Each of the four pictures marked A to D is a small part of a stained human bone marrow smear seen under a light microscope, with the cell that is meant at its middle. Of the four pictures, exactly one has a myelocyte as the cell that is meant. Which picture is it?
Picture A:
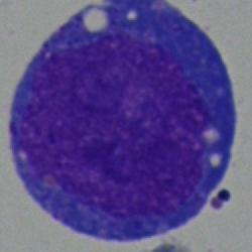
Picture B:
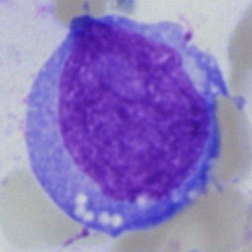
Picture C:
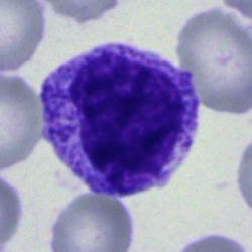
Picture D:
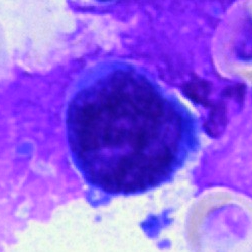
C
